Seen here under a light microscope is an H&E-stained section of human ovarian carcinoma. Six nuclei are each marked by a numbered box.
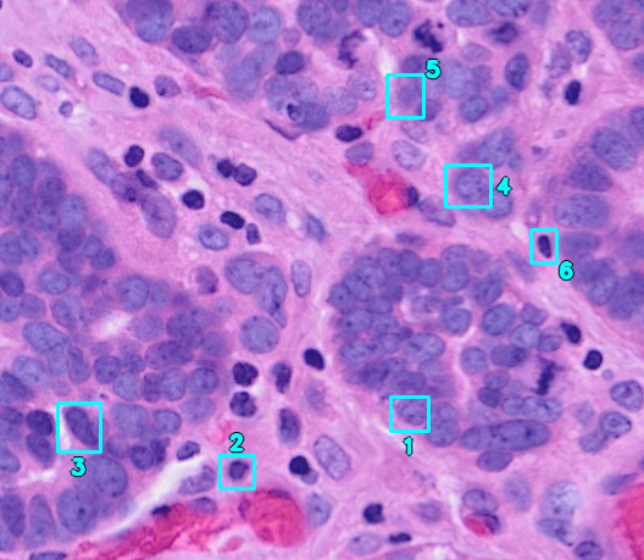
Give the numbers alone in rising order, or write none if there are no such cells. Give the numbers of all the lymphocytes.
2, 6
